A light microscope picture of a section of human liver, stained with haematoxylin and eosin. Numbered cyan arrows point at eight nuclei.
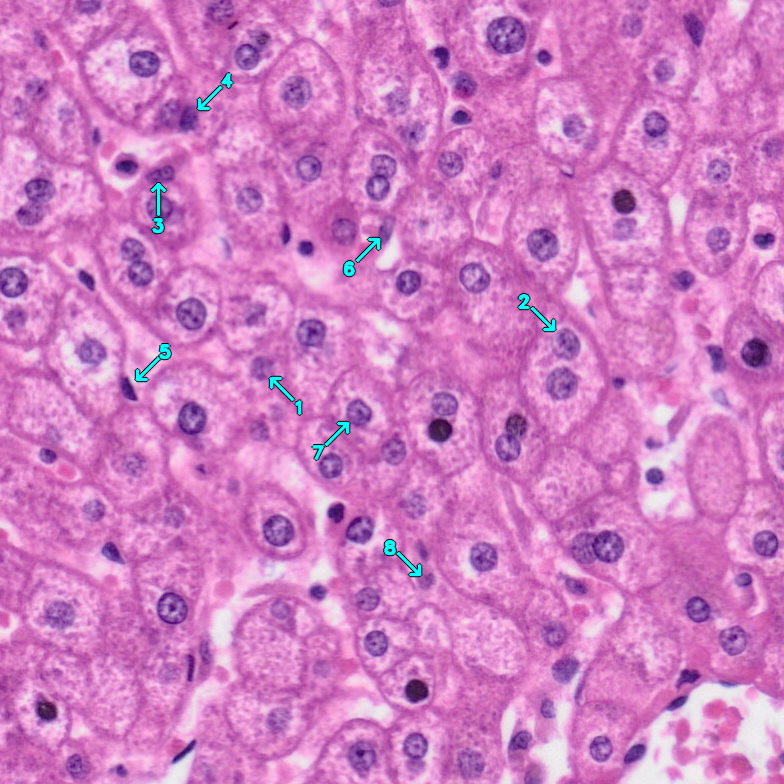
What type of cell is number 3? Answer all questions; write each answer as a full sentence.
In this section, the cell numbered 3 is a Kupffer cell.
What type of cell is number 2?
The cell marked with number 2 is a hepatocyte.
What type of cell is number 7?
The label 7 in this section denotes a hepatocyte.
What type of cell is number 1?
The correct answer for cell 1 is a hepatocyte.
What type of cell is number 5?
The cell referenced by the number 5 is an endothelial cell in this field.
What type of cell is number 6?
Cell 6 in the field of view is a Kupffer cell.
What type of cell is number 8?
The cell that goes by number 8 is a Kupffer cell.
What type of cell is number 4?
The cell identified by the number 4 is a fibroblast or stellate cell.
